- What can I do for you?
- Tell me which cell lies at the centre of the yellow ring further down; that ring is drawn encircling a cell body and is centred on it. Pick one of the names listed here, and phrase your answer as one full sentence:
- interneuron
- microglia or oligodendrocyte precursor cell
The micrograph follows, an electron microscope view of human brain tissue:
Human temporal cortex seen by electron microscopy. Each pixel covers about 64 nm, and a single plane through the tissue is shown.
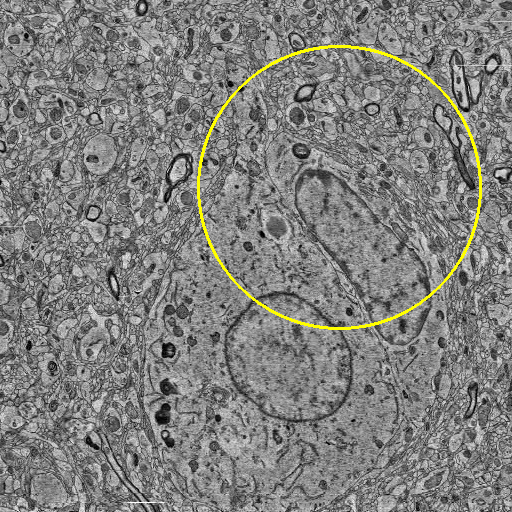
The cell whose body lies at the centre of the yellow ring is a microglial cell or oligodendrocyte precursor cell.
